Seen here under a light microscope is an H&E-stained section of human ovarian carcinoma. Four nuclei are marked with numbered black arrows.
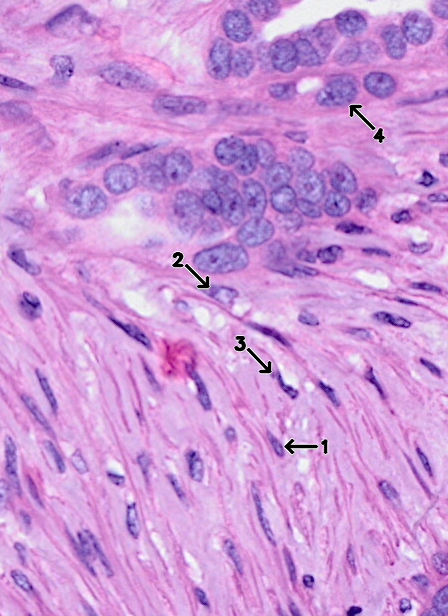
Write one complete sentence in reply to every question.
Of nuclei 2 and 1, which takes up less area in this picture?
With nucleus 2 about 2.5 times its size, nucleus 1 is the smaller of the two.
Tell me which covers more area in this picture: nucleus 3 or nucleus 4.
At about 4 times the area of nucleus 3, nucleus 4 is the larger of the two.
